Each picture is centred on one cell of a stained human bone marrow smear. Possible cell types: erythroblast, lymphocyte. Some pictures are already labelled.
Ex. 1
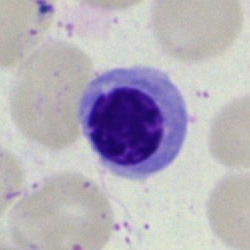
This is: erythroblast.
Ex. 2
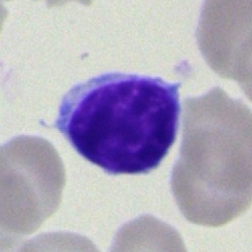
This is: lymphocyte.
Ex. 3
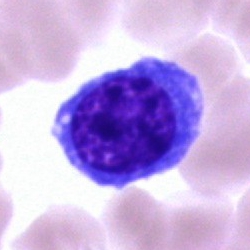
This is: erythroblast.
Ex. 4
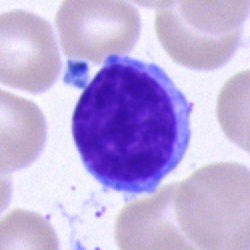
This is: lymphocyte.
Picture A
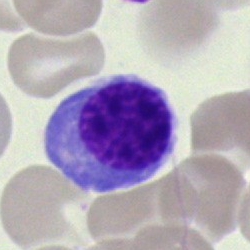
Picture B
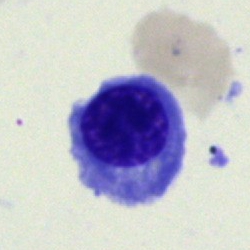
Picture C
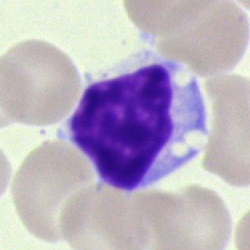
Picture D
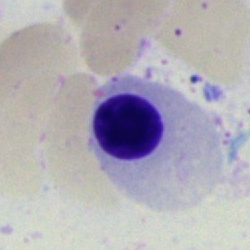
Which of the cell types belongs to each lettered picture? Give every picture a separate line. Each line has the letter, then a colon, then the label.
A: erythroblast.
B: erythroblast.
C: lymphocyte.
D: erythroblast.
